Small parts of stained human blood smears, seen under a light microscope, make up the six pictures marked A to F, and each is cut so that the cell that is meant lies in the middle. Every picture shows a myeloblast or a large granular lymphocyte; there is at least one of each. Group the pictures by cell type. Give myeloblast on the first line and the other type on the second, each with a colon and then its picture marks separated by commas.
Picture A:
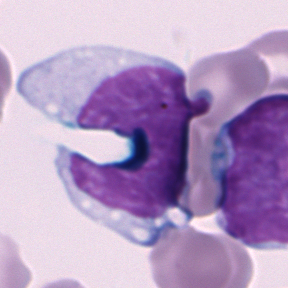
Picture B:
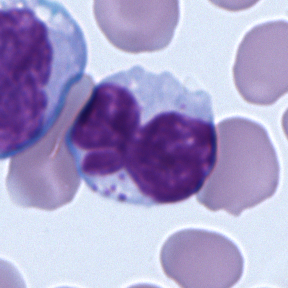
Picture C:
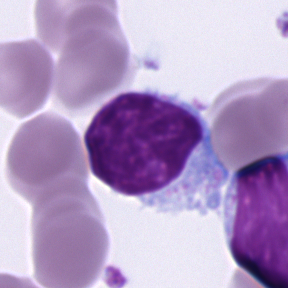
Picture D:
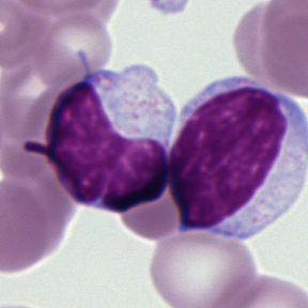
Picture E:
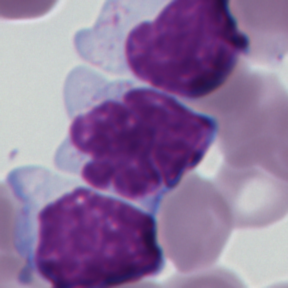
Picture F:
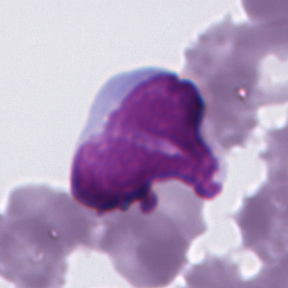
myeloblast: A, F
large granular lymphocyte: B, C, D, E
